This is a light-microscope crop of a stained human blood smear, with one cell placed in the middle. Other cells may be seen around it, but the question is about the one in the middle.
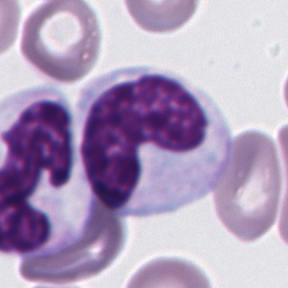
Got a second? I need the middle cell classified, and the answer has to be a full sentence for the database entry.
The centered cell in this crop is a band neutrophil.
